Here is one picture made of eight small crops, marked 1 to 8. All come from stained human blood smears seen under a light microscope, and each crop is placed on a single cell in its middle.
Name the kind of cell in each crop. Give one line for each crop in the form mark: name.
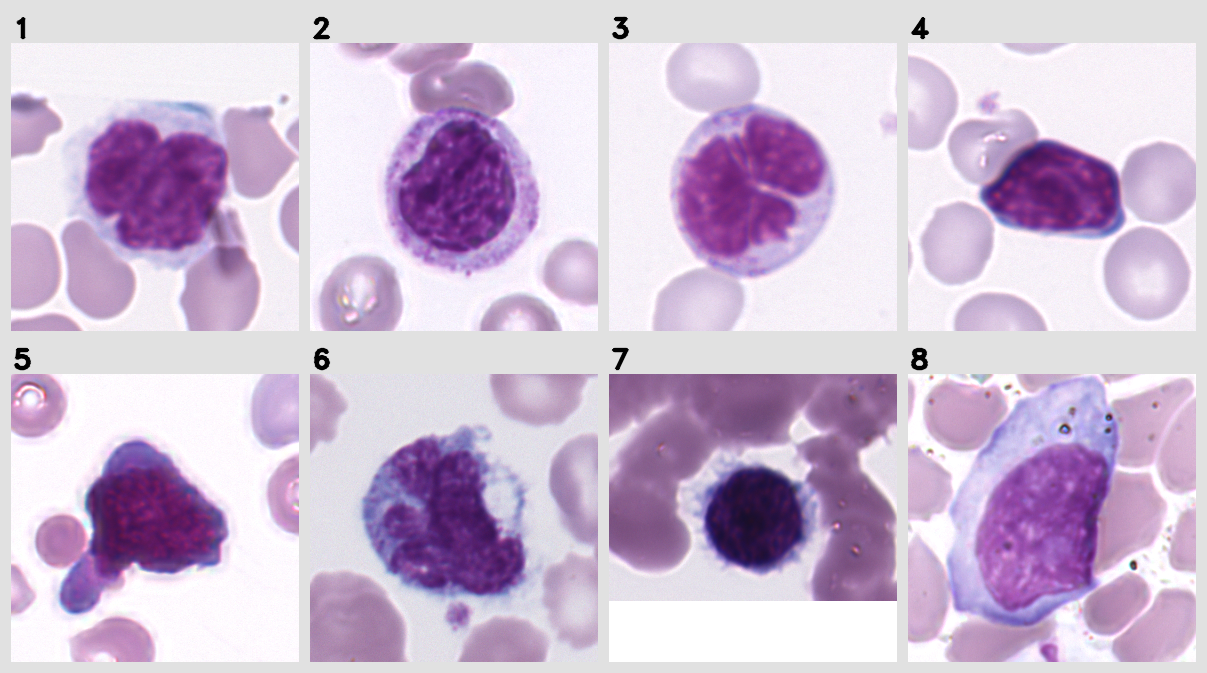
1: hairy cell
2: myelocyte
3: large granular lymphocyte
4: typical lymphocyte
5: atypical promyelocyte
6: monocyte
7: hairy cell
8: plasma cell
